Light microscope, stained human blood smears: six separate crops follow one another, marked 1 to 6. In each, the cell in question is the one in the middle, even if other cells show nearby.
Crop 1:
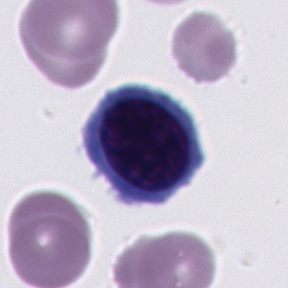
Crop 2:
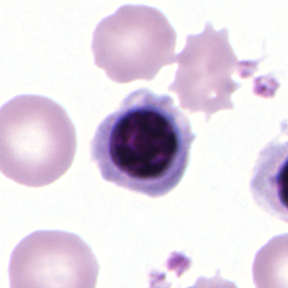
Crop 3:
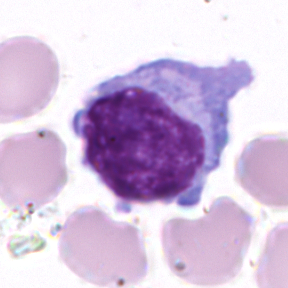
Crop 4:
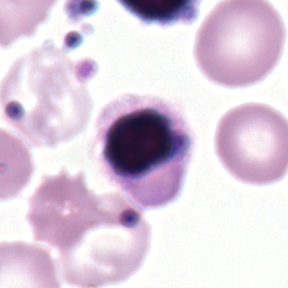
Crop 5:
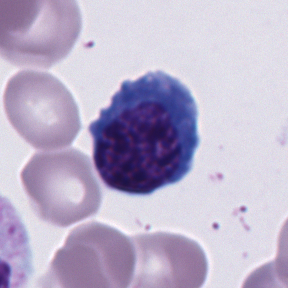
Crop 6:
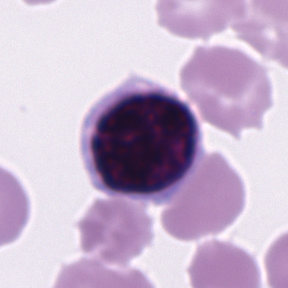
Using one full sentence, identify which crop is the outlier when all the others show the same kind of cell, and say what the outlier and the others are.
The set is made up of erythroblasts, with the single exception of crop 3, which is a plasma cell.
